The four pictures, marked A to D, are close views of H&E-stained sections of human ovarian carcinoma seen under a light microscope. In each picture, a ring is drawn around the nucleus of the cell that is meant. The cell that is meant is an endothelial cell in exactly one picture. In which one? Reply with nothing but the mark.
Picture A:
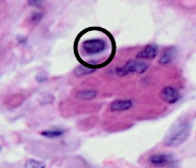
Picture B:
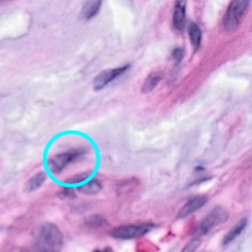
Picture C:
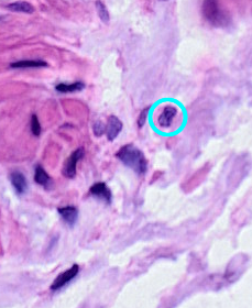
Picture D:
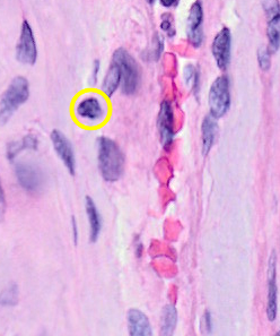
B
